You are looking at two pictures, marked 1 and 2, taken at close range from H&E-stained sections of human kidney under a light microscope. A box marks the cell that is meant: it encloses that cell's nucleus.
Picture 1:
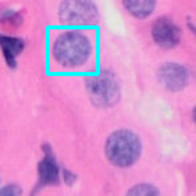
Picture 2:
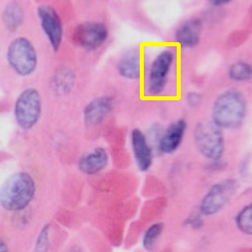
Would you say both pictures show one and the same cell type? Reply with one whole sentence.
No, they differ: the cell is a collecting duct cell in picture 1 and a “loop of Henle or distal tubule cell” in picture 2.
